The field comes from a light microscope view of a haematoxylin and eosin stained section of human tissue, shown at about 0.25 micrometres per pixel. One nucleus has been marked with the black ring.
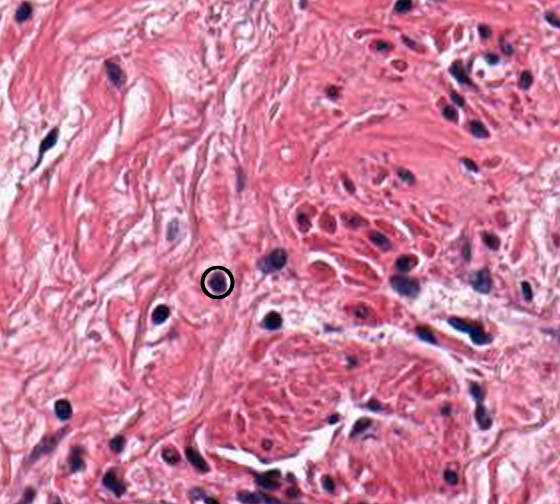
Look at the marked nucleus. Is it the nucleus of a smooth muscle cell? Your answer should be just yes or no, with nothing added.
no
